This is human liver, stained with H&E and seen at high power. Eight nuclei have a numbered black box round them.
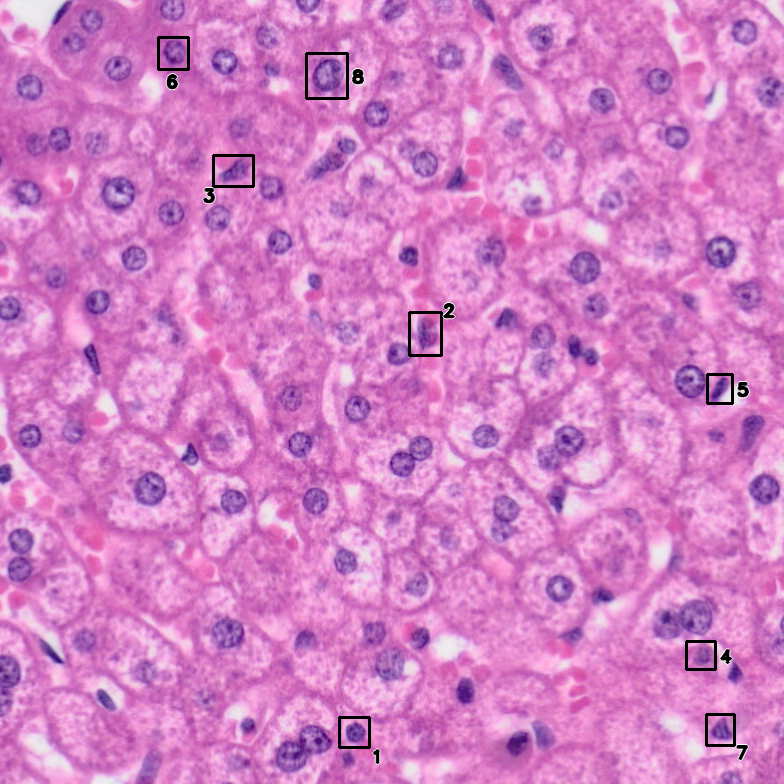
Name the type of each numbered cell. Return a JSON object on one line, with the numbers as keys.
{"1": "lymphocyte", "2": "endothelial cell", "3": "endothelial cell", "4": "Kupffer cell", "5": "fibroblast or stellate cell", "6": "hepatocyte", "7": "Kupffer cell", "8": "hepatocyte"}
